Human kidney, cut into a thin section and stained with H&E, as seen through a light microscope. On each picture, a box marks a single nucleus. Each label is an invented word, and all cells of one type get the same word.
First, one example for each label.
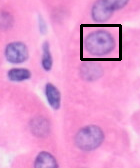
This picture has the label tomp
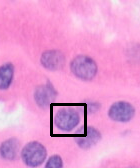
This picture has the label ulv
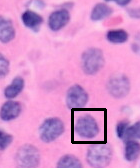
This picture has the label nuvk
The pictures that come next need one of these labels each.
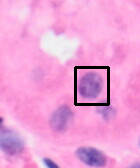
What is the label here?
tomp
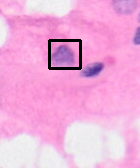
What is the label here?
tomp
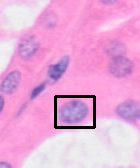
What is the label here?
nuvk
